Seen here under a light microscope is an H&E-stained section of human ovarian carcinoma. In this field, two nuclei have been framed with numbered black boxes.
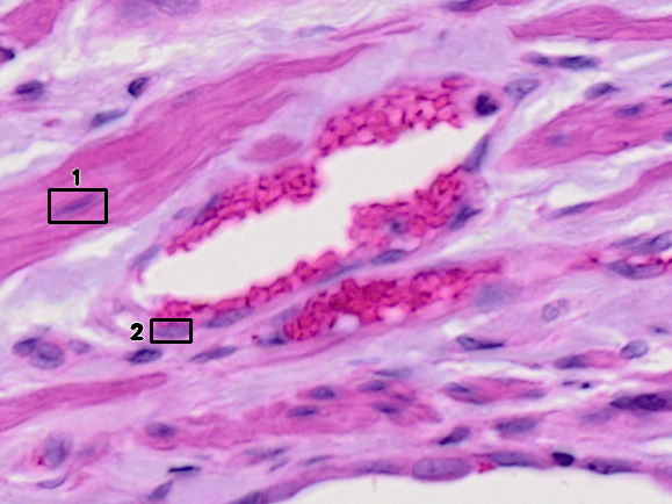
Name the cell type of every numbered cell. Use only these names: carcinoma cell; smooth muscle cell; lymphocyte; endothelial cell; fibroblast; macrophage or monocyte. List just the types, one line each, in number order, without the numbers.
smooth muscle cell
endothelial cell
